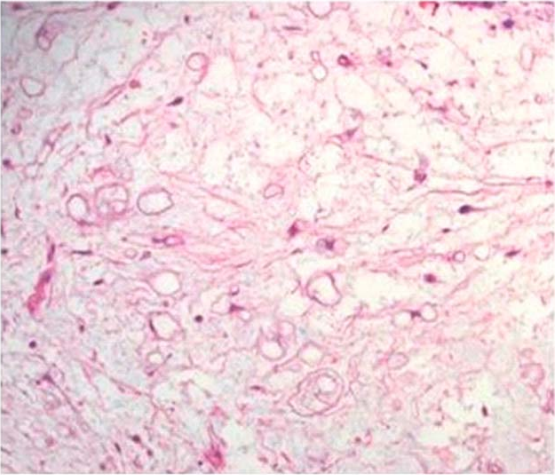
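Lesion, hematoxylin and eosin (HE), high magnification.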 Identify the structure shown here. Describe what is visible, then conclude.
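Richly myxoid matrix. Most of the field is pale, loose and wispy extracellular material. Cells are sparse within this loose background.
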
